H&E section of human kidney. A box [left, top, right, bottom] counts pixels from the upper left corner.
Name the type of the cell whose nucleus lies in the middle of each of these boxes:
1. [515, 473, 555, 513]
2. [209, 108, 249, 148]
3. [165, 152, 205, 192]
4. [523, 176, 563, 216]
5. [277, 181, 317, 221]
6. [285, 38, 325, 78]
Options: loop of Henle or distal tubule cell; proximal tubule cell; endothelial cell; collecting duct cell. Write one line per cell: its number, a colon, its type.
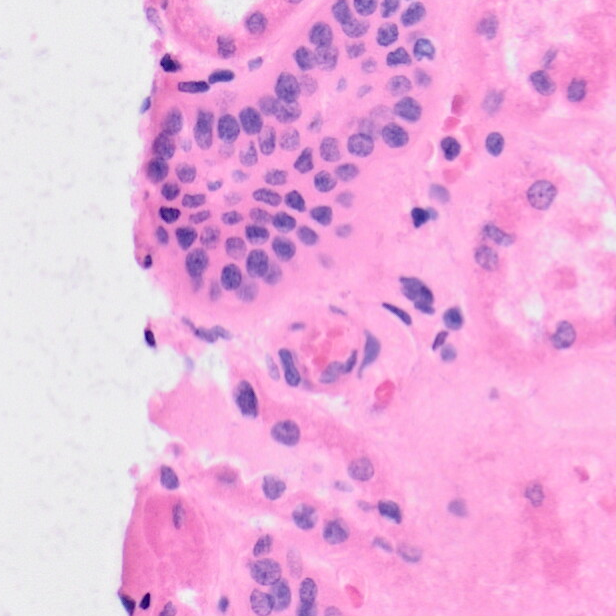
1: proximal tubule cell
2: collecting duct cell
3: collecting duct cell
4: proximal tubule cell
5: collecting duct cell
6: collecting duct cell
